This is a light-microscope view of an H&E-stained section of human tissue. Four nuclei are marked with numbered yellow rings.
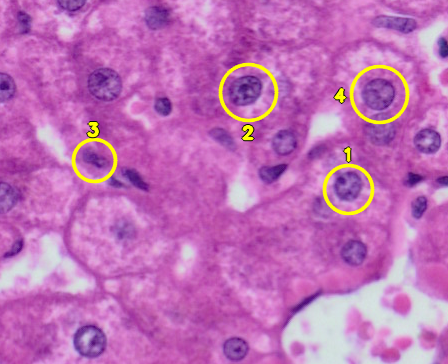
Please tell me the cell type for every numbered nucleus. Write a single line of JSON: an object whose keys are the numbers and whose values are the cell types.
{"1": "hepatocyte", "2": "hepatocyte", "3": "Kupffer cell", "4": "hepatocyte"}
